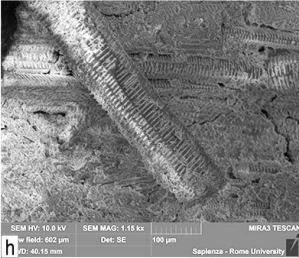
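This is plant wood tissue with xylem cells: a long tubular conducting cell crosses the field diagonally, its wall covered by rows of small, closely spaced pits. Around it lie further elongated cells and their walls running roughly parallel, partly obscured by rough encrusted material.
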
